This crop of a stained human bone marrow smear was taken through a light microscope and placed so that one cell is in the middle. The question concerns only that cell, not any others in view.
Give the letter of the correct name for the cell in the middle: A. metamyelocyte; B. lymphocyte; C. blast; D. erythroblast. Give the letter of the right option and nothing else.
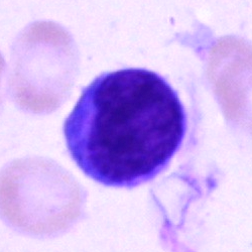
B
